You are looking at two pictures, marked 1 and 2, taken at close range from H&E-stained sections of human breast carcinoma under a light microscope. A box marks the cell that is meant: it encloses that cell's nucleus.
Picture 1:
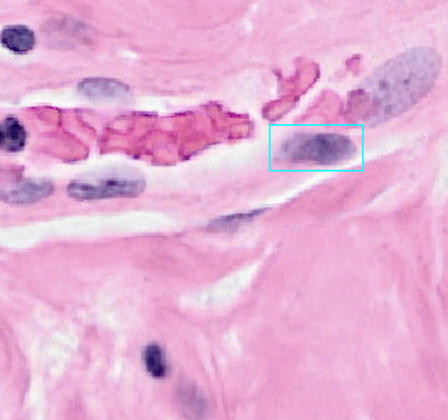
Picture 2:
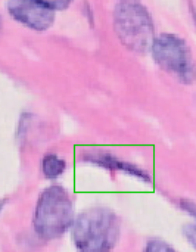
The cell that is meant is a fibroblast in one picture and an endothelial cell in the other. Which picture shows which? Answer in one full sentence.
It is picture 1 that shows an endothelial cell, and picture 2 that shows a fibroblast.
